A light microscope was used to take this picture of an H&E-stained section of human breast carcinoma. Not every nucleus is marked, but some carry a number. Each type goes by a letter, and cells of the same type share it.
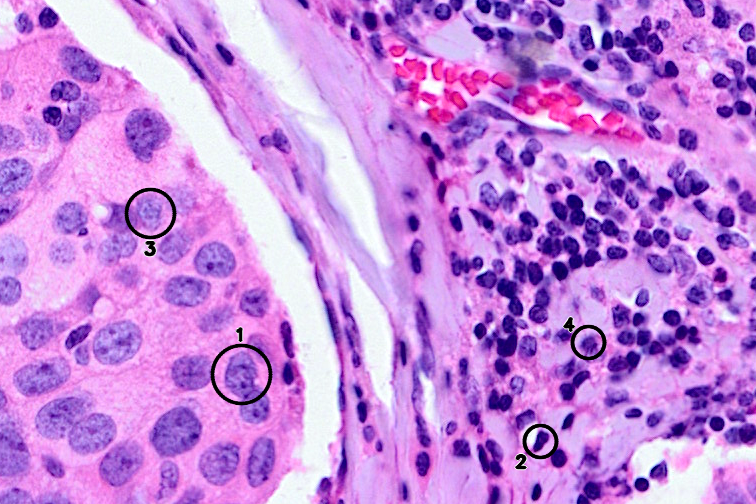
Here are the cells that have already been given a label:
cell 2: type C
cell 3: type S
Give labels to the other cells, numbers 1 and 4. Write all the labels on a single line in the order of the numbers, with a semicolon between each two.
type S; type C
